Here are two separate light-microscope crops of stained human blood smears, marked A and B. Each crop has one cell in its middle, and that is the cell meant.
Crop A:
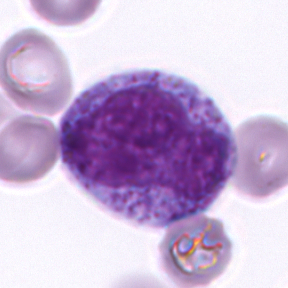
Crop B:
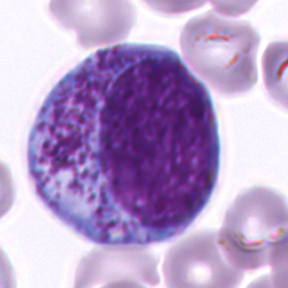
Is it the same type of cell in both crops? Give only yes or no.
yes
